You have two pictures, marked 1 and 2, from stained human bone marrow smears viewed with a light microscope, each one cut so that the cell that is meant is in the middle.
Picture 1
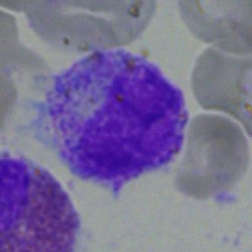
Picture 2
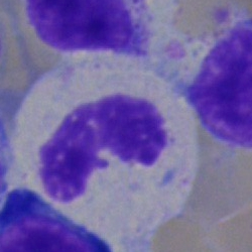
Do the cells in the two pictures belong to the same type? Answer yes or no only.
no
